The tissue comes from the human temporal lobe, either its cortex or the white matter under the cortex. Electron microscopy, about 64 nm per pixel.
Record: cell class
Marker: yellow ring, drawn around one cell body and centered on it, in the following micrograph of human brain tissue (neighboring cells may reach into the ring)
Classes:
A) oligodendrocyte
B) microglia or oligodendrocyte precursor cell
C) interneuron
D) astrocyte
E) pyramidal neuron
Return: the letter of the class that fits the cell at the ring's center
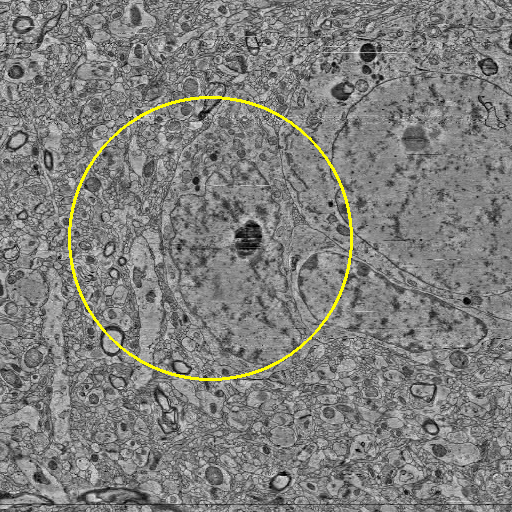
C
